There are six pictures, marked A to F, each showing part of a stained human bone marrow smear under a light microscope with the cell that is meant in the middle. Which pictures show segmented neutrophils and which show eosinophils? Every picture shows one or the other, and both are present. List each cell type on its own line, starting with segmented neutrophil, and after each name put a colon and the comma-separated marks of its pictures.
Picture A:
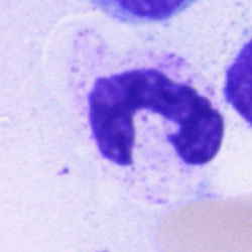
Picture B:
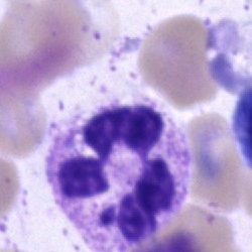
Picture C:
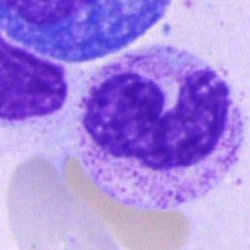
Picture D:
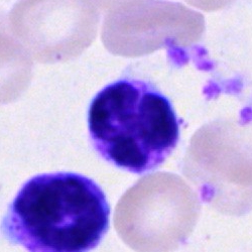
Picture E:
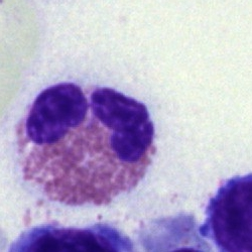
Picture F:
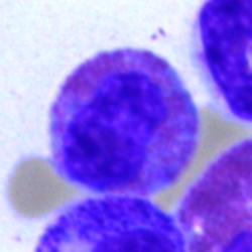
segmented neutrophil: A, B, C, D
eosinophil: E, F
